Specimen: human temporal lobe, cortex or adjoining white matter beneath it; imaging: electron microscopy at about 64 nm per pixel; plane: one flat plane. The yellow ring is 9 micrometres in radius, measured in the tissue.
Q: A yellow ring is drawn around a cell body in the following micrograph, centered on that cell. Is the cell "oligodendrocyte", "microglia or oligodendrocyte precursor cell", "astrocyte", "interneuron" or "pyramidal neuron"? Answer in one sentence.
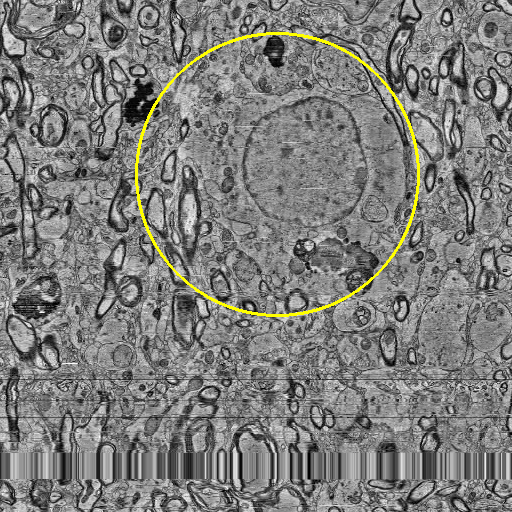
The cell in the center of the ring is a microglial cell or oligodendrocyte precursor cell.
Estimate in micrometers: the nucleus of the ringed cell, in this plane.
In this plane the nucleus measures roughly 8 micrometres across.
